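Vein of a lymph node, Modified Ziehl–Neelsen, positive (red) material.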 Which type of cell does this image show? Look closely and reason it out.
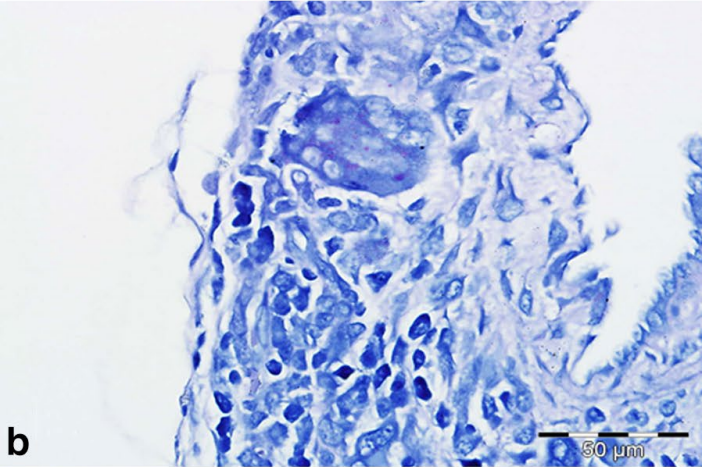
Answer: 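A large oval cell near the top stands out from smaller surrounding cells. It contains several pale nuclei within a blue cytoplasm. So: multinucleated giant cell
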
